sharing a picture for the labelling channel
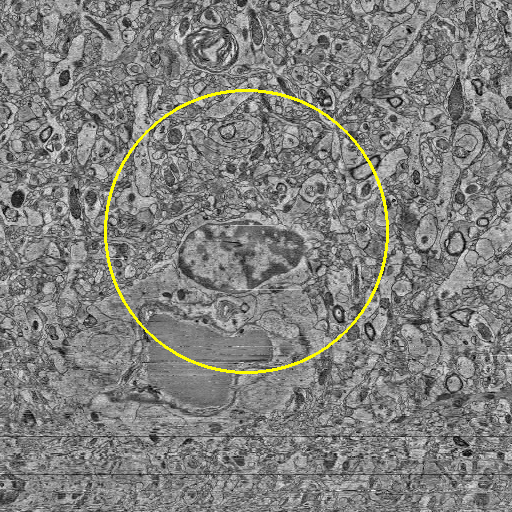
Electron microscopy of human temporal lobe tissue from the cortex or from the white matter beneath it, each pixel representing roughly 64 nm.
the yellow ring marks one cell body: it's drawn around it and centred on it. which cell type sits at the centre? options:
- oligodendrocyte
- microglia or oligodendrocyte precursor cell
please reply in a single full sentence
In the picture, the cell at the ring's centre is a microglial cell or oligodendrocyte precursor cell, going by the list.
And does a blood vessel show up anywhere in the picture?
Yes.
